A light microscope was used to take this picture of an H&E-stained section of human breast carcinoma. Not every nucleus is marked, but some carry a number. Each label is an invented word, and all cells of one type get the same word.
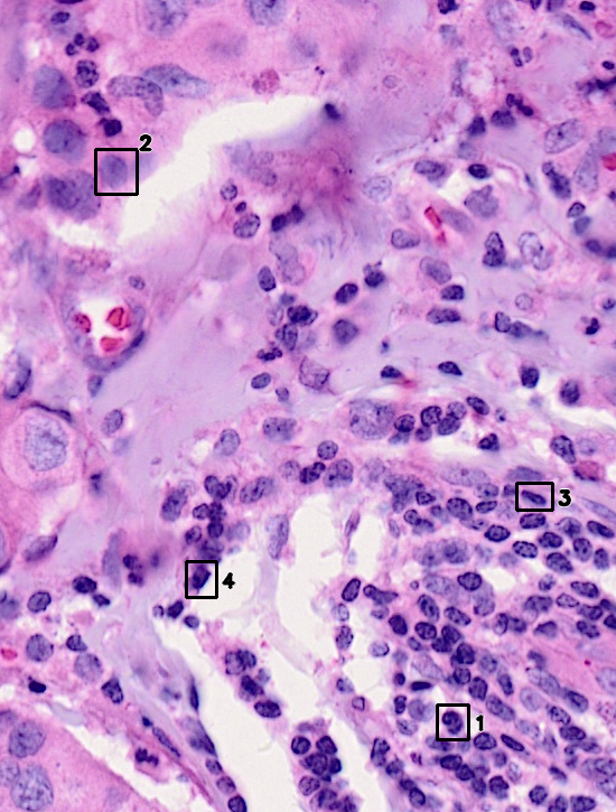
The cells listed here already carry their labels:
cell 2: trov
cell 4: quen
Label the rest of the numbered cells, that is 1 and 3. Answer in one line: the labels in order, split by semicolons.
quen; quen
